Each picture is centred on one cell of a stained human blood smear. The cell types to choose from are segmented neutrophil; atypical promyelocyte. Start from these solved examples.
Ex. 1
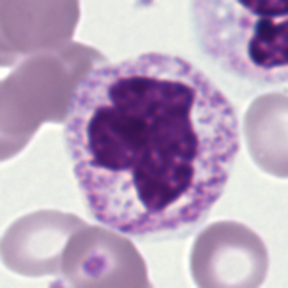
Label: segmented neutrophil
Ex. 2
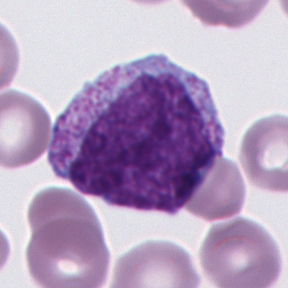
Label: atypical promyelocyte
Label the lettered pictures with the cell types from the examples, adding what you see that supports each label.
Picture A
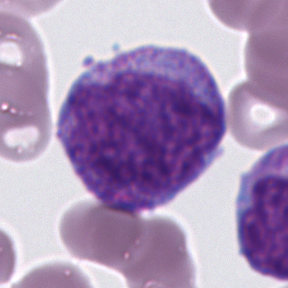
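Answer: atypical promyelocyte. The cytoplasm is a narrow blue crescent that is widest along the top of the cell.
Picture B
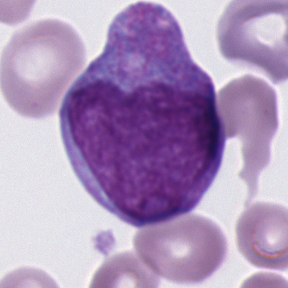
Answer: atypical promyelocyte. The nucleus fills most of the cell.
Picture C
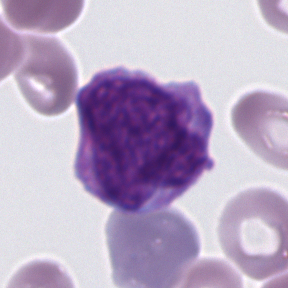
Answer: atypical promyelocyte. The nucleus fills most of the cell.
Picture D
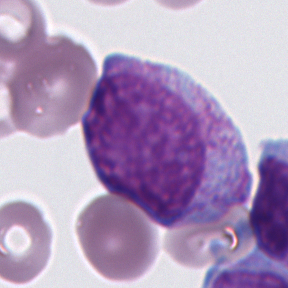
Answer: atypical promyelocyte. The nucleus fills most of the cell.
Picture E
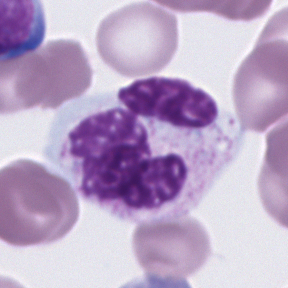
Answer: segmented neutrophil. The nucleus is divided into several separate lobes.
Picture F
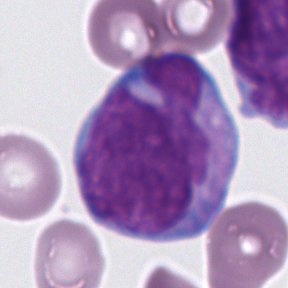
Answer: atypical promyelocyte. The nucleus fills most of the cell.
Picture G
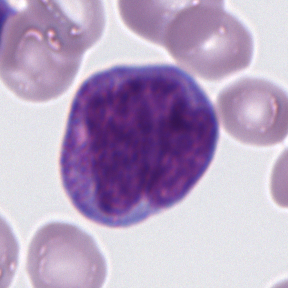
Answer: atypical promyelocyte. The nucleus fills most of the cell.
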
